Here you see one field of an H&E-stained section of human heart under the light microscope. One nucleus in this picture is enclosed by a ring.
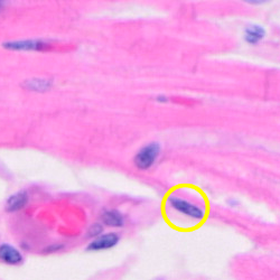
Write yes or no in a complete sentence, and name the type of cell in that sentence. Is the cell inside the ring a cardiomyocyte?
No, the cell inside the ring is not a cardiomyocyte but a fibroblast.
